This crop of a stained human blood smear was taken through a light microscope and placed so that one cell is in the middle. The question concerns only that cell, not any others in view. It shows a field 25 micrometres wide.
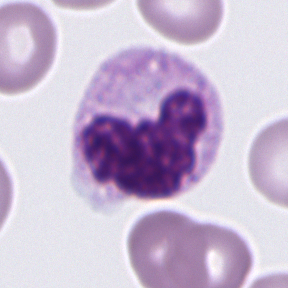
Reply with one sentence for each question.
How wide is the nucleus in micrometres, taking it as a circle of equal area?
The nucleus is about 9 micrometres across.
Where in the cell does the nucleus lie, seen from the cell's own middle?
The nucleus lies toward the bottom of the cell.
